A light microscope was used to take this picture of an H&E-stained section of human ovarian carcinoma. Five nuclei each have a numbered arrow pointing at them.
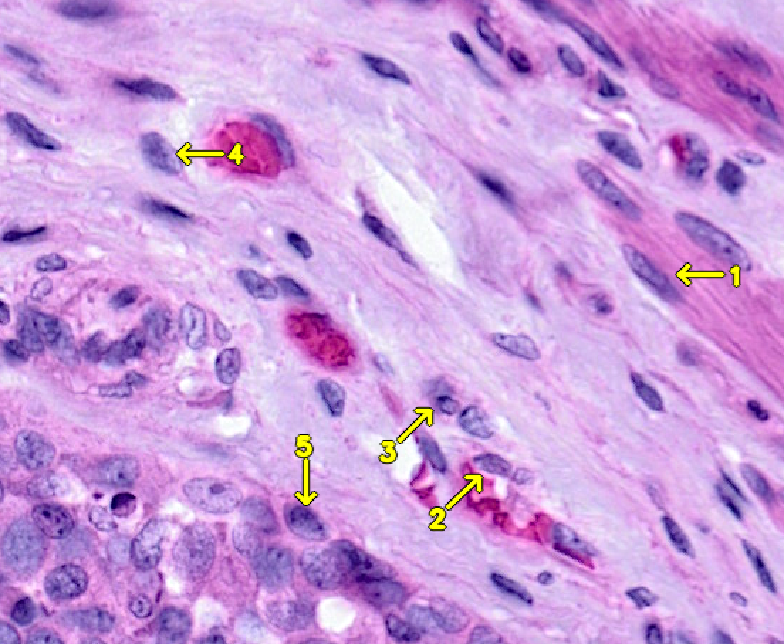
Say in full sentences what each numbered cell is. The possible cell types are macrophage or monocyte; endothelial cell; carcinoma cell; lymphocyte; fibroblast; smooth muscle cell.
Cell 1 is a smooth muscle cell, cell 2 is an endothelial cell, cell 3 is an endothelial cell, cell 4 is a fibroblast and cell 5 is a macrophage or monocyte.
